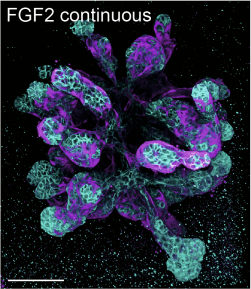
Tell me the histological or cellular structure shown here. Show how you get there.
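Many short, rounded bulbous protrusions radiate from a central mass. No long slender tubes extend from the mass. That points to this answer: budding structures.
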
